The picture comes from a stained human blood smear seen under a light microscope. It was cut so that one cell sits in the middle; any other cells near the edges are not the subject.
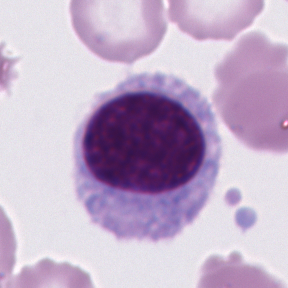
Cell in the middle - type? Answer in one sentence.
For this crop, the central cell is a hairy cell.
